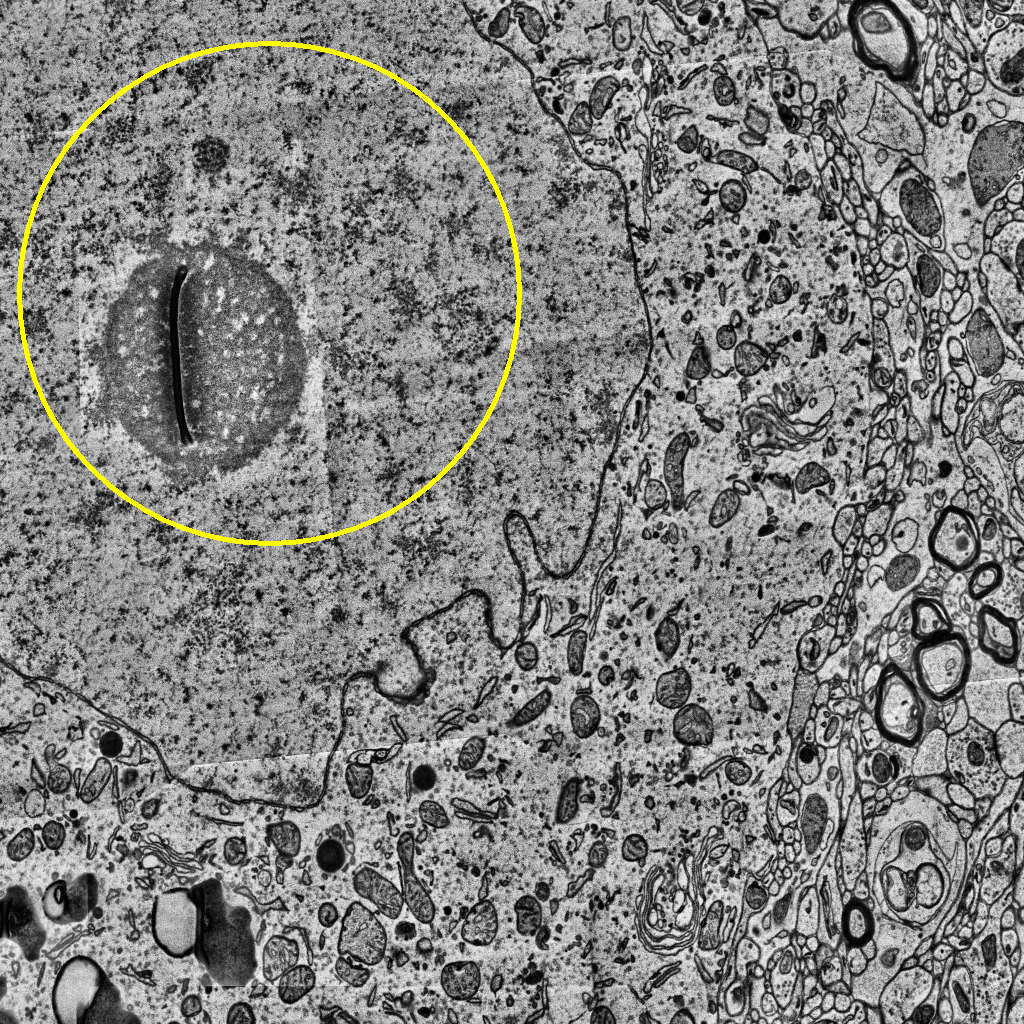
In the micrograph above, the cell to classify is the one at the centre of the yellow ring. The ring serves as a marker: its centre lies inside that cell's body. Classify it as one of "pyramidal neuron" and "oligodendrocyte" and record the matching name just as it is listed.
pyramidal neuron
